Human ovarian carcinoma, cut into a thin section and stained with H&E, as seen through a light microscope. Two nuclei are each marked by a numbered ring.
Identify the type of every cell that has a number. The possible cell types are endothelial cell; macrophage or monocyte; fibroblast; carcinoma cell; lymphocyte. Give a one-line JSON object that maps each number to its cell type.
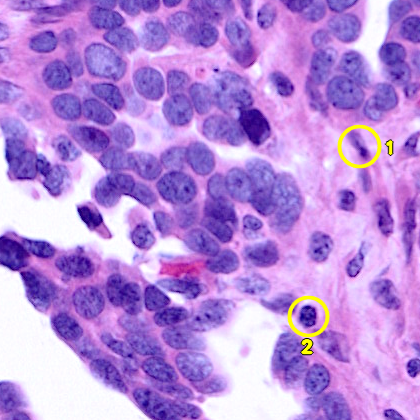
{"1": "fibroblast", "2": "lymphocyte"}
